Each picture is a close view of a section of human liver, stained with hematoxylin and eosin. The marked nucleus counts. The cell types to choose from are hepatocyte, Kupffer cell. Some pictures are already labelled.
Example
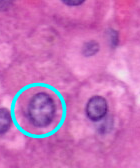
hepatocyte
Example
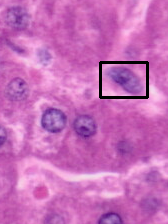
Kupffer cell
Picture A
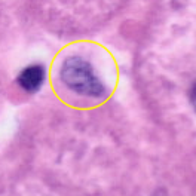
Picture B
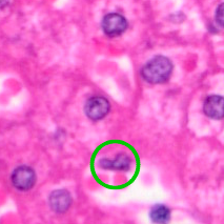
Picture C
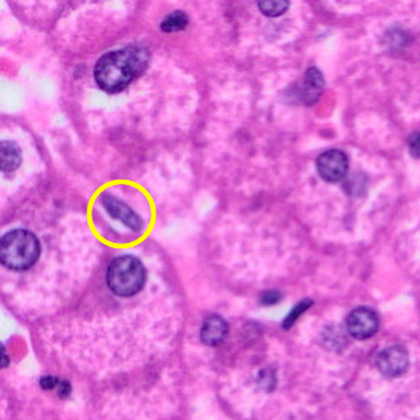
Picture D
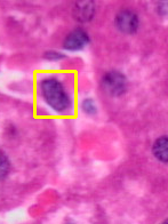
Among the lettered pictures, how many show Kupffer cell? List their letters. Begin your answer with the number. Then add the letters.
4, namely A, B, C, D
